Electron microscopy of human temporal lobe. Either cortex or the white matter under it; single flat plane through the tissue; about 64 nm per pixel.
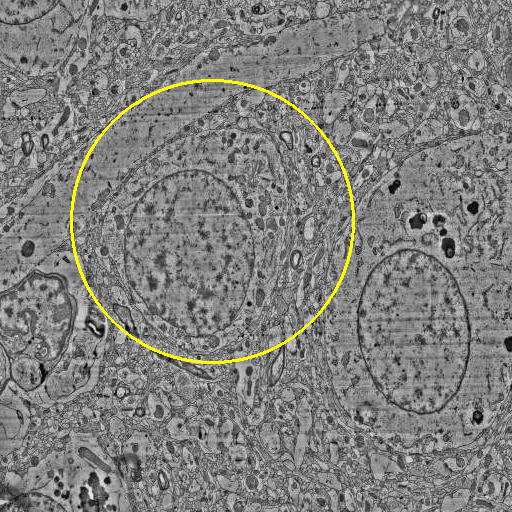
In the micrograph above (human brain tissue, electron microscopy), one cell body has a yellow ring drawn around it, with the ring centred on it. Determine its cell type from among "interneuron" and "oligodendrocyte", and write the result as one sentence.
The cell whose body is ringed is an interneuron.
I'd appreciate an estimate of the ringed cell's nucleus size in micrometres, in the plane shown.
In this plane the nucleus is about 11 micrometres by 8.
